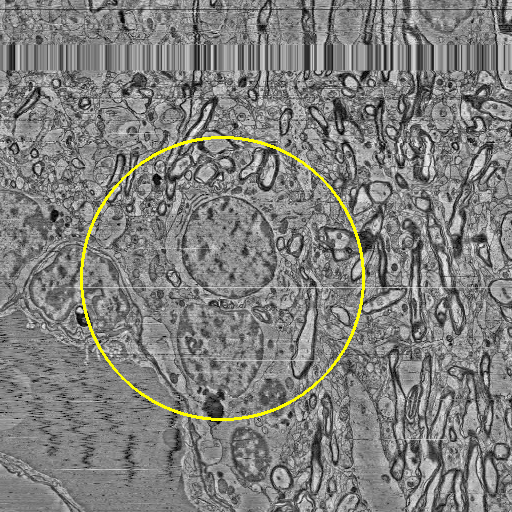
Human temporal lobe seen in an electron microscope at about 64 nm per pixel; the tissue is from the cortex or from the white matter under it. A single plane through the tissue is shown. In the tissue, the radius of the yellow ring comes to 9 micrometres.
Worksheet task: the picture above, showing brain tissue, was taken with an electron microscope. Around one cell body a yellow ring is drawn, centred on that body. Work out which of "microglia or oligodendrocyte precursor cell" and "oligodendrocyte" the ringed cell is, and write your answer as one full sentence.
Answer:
It is a microglial cell or oligodendrocyte precursor cell whose cell body lies at the centre of the yellow ring.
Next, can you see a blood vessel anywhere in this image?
Yes, there is a blood vessel in the image.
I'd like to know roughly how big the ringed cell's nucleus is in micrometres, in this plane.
In this plane the nucleus spans approximately 7 by 6 micrometers.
